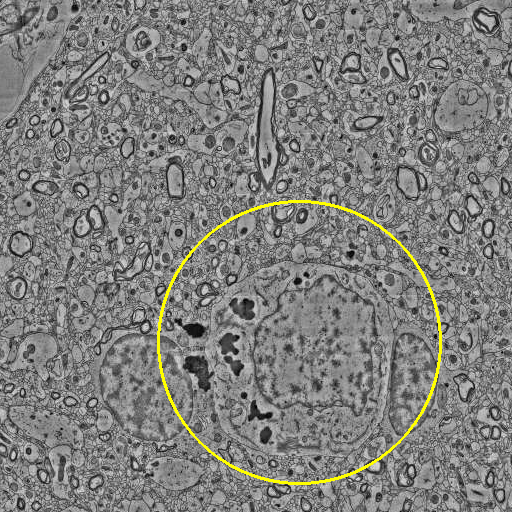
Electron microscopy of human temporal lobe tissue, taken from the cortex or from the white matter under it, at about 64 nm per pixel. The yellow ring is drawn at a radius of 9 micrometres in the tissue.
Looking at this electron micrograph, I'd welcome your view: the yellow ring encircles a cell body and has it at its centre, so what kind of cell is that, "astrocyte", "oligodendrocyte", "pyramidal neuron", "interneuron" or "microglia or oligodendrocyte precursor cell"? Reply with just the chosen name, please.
interneuron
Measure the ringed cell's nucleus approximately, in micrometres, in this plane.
The nucleus measures about 9 micrometers across in this plane.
